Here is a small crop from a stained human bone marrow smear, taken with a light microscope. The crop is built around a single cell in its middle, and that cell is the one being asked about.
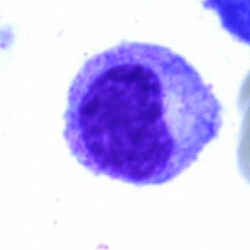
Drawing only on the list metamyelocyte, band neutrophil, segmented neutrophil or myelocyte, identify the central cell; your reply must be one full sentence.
The identification for the central cell is a metamyelocyte.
